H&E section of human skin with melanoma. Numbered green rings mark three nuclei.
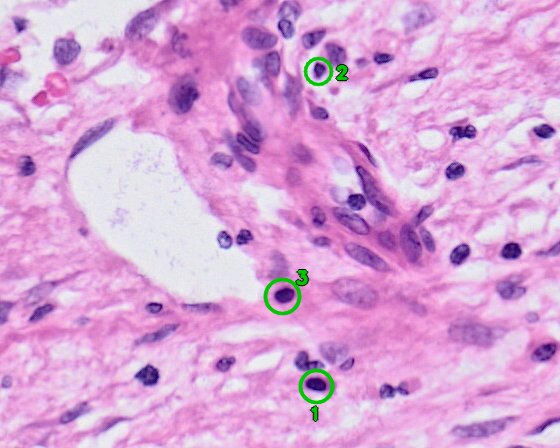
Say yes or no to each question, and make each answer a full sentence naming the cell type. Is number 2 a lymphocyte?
Yes, for number 2, the cell is a lymphocyte.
